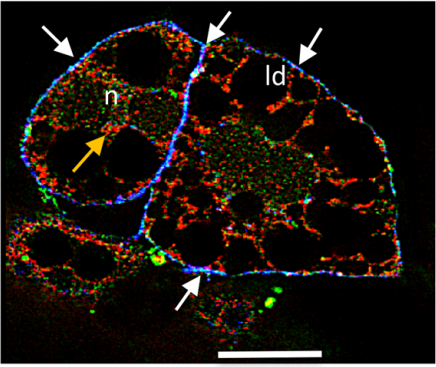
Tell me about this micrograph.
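A thin bright blue-white line outlines the cell membrane of each cell and marks the border where two cells touch. Red and green speckles fill the narrow cytoplasmic strands between the droplets and around the nucleus, giving a lacy network appearance.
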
